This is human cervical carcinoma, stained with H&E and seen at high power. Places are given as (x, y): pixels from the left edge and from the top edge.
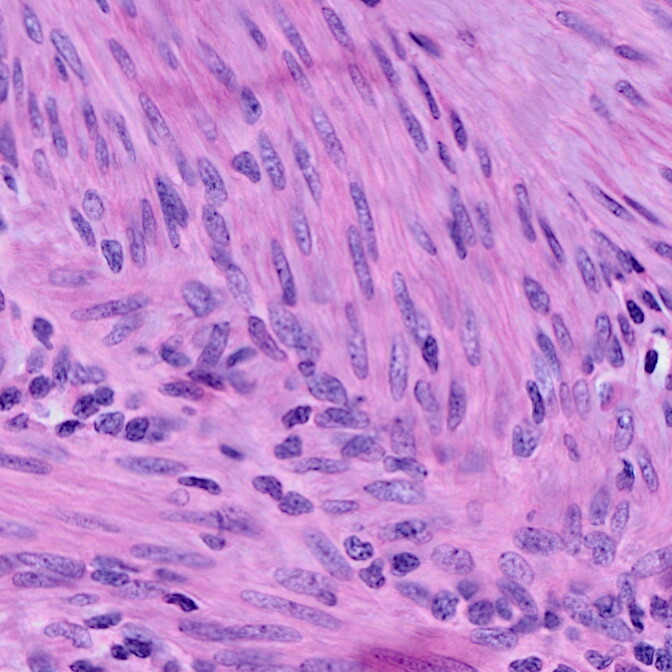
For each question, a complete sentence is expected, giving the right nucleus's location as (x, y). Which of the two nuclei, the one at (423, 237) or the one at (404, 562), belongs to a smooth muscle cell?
Of these two nuclei, only the one at (423, 237) belongs to a smooth muscle cell.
